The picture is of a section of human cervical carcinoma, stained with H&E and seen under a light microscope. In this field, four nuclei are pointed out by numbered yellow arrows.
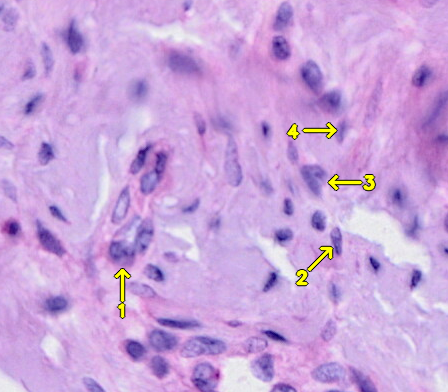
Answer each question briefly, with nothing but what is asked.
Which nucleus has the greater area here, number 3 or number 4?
3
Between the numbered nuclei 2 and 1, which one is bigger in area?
1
